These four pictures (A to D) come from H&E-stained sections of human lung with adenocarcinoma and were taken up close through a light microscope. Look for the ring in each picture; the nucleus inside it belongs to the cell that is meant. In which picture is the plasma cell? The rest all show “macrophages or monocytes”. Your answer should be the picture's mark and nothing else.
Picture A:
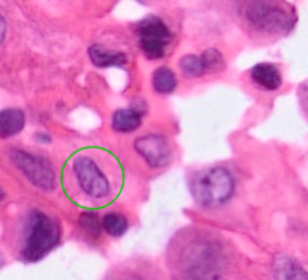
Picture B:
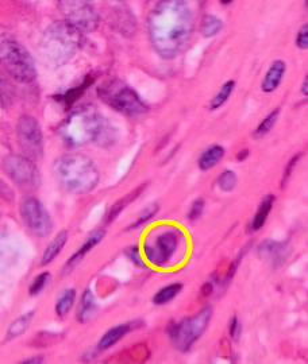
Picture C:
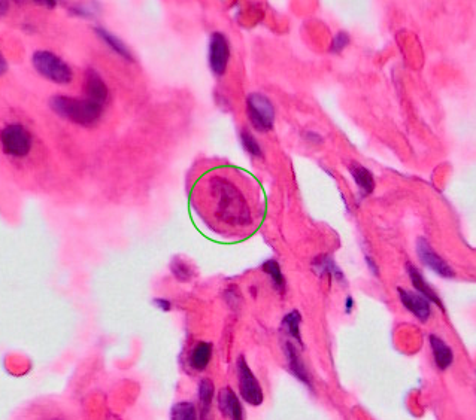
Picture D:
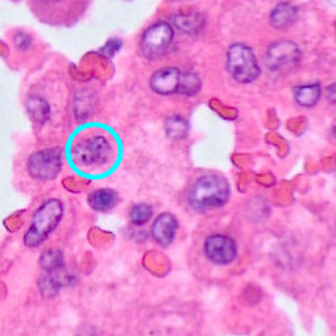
B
